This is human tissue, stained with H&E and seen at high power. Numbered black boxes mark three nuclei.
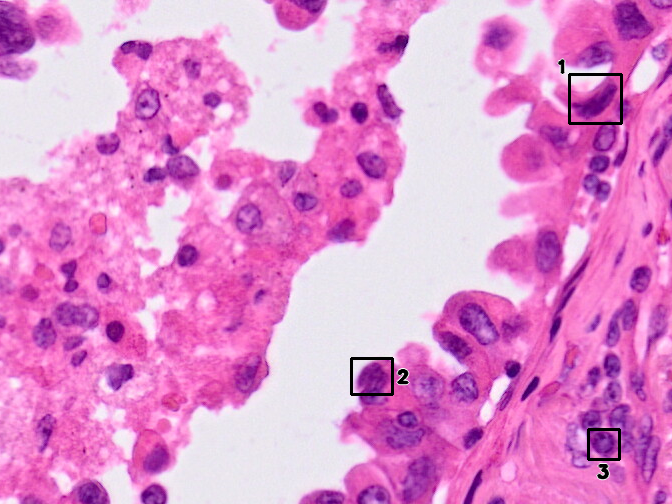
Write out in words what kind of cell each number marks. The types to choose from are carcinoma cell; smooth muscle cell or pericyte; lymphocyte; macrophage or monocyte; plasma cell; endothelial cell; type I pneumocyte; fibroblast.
Cell 1 is a carcinoma cell, cell 2 is a carcinoma cell and cell 3 is a plasma cell.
